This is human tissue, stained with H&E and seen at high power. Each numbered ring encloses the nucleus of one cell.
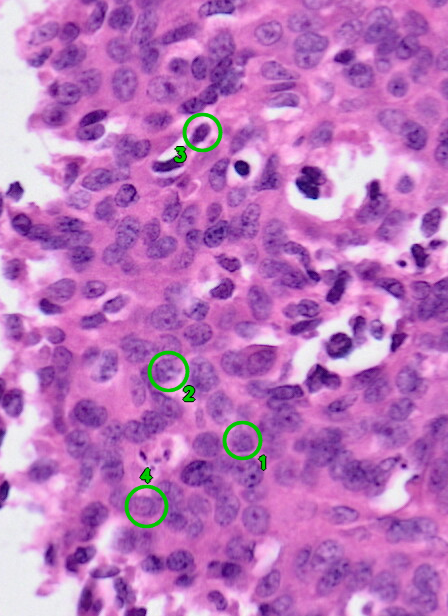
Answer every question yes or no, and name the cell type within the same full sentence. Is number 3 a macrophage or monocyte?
No, cell number 3 is identified as a carcinoma cell, not as a macrophage or monocyte.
